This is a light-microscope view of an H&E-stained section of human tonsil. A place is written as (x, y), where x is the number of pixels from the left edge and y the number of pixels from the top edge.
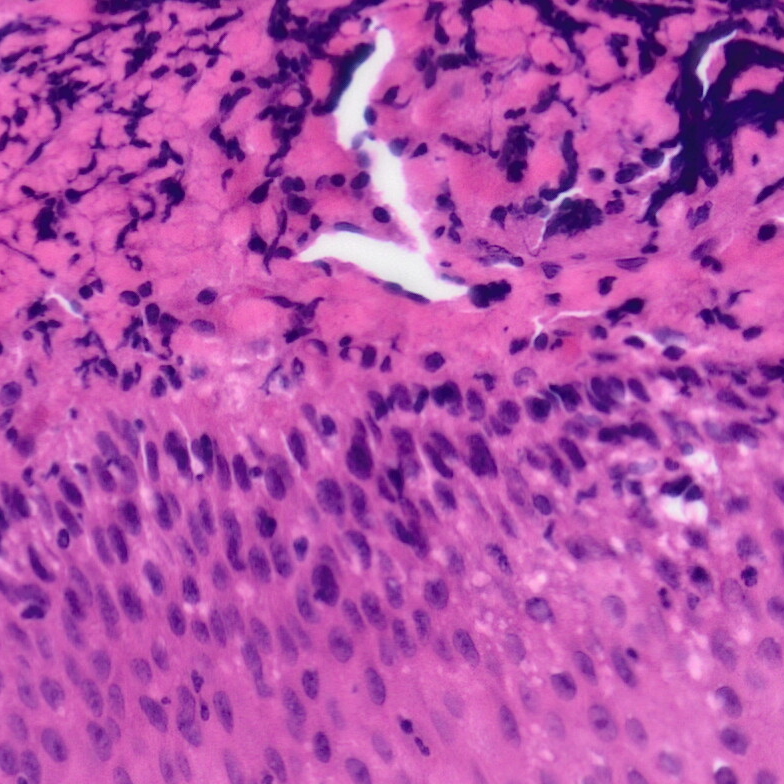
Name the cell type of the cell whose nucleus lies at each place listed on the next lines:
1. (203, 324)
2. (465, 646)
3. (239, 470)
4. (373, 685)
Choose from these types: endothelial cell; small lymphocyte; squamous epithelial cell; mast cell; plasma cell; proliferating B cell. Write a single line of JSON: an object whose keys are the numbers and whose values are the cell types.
{"1": "endothelial cell", "2": "squamous epithelial cell", "3": "squamous epithelial cell", "4": "squamous epithelial cell"}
